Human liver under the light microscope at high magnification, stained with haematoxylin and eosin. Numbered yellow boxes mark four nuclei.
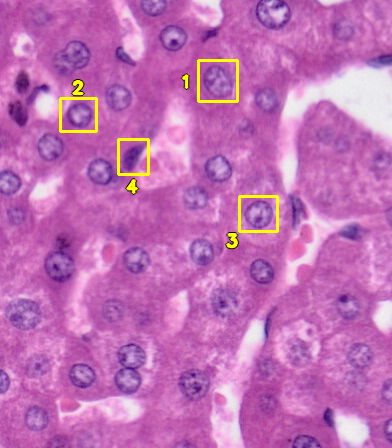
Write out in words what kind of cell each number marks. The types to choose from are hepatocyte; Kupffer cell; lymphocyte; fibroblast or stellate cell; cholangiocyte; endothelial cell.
Cell 1 is a hepatocyte, cell 2 is a hepatocyte, cell 3 is a hepatocyte and cell 4 is a fibroblast or stellate cell.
